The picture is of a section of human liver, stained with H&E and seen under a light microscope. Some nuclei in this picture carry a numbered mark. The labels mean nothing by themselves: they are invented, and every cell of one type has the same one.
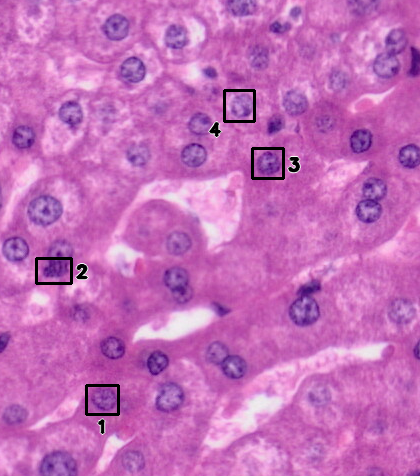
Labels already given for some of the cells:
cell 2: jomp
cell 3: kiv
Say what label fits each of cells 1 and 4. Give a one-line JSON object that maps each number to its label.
{"1": "kiv", "4": "kiv"}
